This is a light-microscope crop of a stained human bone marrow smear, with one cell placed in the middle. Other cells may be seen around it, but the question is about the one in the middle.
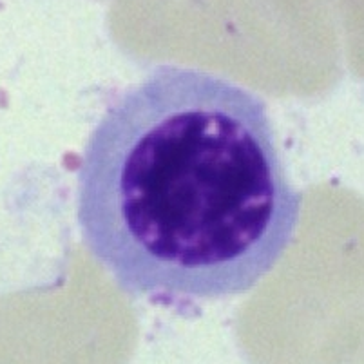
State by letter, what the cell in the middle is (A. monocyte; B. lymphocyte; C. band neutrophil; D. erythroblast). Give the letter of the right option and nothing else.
D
